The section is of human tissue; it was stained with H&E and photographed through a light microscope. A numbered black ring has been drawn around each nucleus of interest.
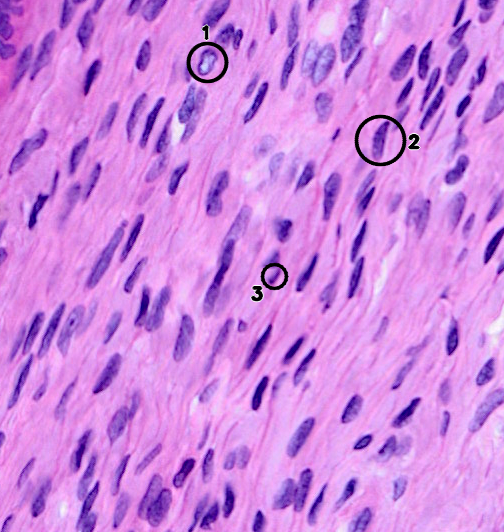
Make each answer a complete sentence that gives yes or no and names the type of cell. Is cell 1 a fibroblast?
No, the cell labelled number 1 is not a fibroblast; it is an endothelial cell.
